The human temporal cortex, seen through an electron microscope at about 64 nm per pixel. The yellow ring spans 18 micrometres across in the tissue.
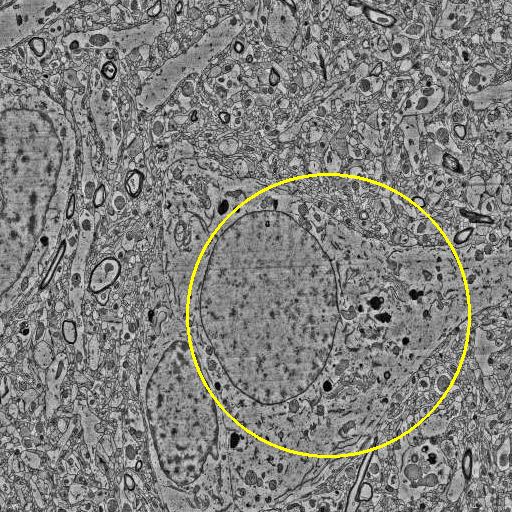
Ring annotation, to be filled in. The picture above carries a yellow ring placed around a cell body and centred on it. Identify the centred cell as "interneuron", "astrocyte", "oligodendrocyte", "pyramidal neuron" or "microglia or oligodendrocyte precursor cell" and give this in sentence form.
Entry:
The cell in the middle of the ring is a pyramidal neuron.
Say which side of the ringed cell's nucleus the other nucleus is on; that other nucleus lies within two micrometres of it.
The other one lies to the lower left of it.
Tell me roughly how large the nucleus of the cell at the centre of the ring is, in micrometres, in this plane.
In this plane the nucleus measures roughly 12 by 9 micrometers.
